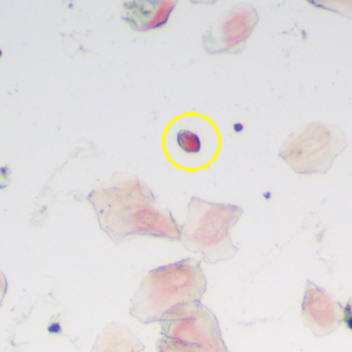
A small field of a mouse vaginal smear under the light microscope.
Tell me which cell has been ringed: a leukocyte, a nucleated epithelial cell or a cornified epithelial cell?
It is a nucleated epithelial cell.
